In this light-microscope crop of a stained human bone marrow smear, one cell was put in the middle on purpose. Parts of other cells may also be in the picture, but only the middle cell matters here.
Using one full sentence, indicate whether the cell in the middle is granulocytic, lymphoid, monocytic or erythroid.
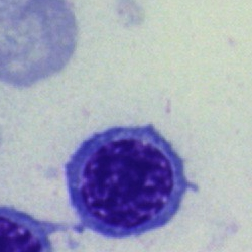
The cell situated centrally in the crop is of the erythroid lineage.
